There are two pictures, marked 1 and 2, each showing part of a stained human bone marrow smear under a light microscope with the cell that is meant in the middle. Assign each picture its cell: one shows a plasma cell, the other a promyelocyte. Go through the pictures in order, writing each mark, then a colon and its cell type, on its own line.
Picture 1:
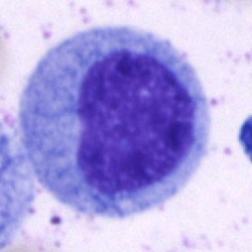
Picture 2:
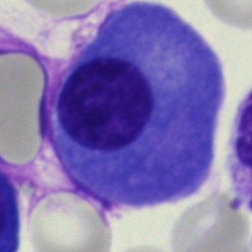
1: promyelocyte
2: plasma cell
